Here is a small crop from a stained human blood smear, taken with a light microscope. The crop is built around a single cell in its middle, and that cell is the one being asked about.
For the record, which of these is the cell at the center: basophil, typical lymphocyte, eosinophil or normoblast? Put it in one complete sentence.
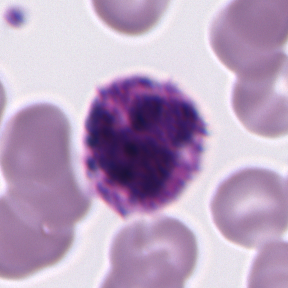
What the crop centres on is a basophil.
